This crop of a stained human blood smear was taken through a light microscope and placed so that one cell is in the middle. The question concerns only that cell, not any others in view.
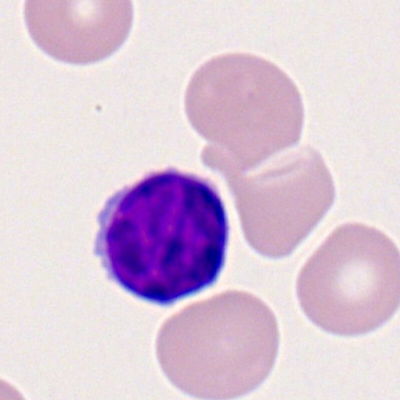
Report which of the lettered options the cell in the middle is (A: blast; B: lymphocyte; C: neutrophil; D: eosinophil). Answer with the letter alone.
B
